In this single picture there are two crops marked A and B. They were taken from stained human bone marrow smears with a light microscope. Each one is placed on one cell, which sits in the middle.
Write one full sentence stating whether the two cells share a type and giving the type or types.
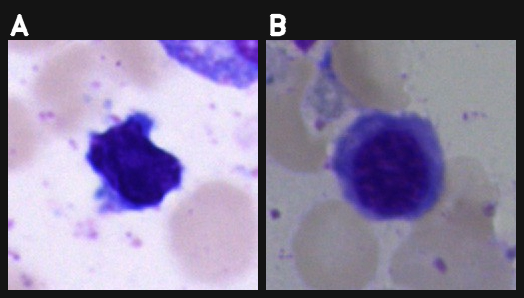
No, crop A presents a lymphocyte; crop B presents a normoblast.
